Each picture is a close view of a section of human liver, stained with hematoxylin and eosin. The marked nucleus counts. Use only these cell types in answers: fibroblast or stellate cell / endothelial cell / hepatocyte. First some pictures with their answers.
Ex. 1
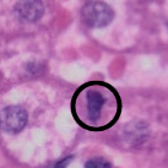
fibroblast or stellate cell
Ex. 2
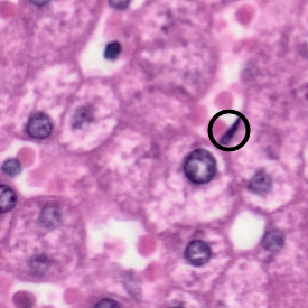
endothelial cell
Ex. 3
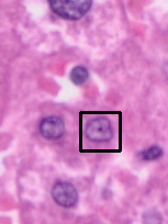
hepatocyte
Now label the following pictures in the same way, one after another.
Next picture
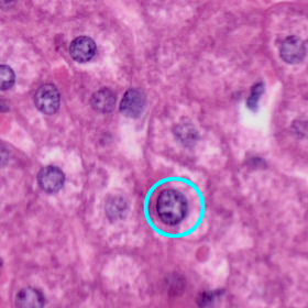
hepatocyte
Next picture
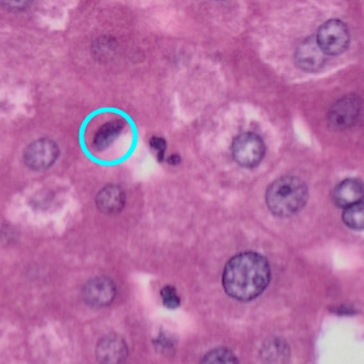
fibroblast or stellate cell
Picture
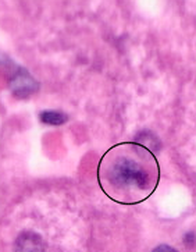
endothelial cell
